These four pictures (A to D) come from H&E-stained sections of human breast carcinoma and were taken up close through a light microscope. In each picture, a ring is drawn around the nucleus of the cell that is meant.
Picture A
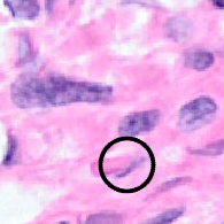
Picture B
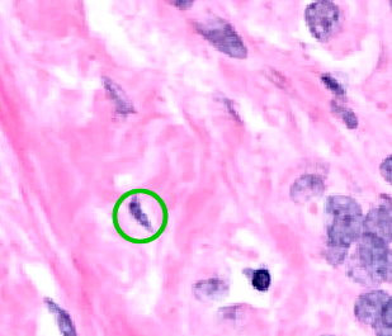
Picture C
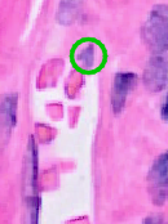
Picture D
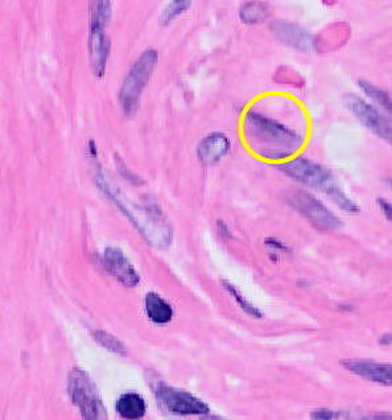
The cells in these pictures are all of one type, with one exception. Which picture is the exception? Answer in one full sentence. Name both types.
All pictures except B show endothelial cells; picture B shows a fibroblast.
